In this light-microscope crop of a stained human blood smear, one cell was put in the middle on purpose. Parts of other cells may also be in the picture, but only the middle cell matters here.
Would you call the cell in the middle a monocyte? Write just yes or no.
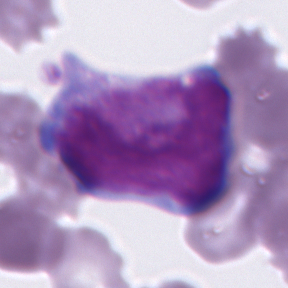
no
